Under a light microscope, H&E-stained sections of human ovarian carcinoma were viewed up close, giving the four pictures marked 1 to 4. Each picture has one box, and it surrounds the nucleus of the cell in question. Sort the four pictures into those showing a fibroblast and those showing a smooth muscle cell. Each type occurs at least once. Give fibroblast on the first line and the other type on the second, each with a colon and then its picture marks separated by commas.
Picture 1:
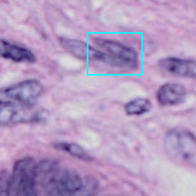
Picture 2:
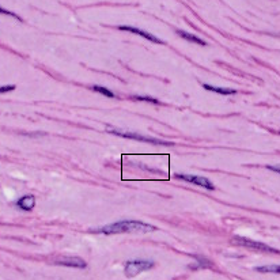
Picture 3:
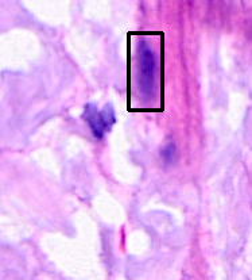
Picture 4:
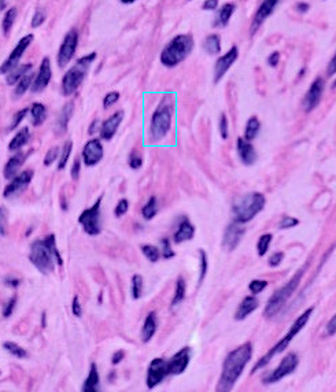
fibroblast: 1, 2
smooth muscle cell: 3, 4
